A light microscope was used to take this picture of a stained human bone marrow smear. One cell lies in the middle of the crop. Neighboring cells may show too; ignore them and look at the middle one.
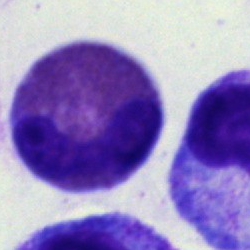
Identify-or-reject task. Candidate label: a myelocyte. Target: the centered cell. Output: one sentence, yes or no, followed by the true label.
No, the cell at the centre is an eosinophil, which rules out a myelocyte.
